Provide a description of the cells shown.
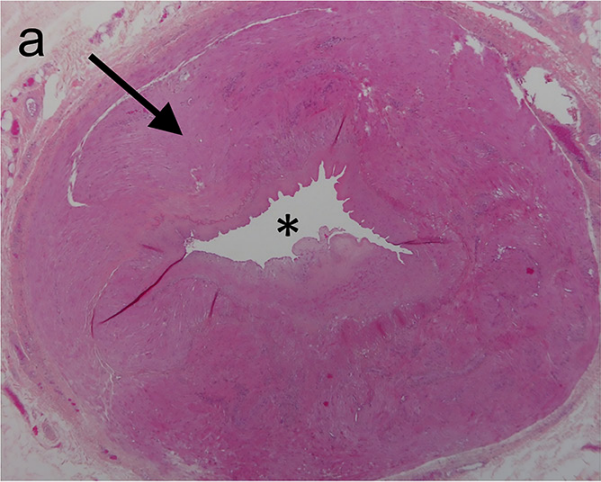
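A round vessel in cross-section has a greatly thickened pink wall built of concentric layers, leaving only a narrow, irregular, star-shaped clear lumen at the centre. Loose connective tissue surrounds the vessel on the outside. This is a marked concentric thickening of the vessel wall narrowing the vascular lumen.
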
